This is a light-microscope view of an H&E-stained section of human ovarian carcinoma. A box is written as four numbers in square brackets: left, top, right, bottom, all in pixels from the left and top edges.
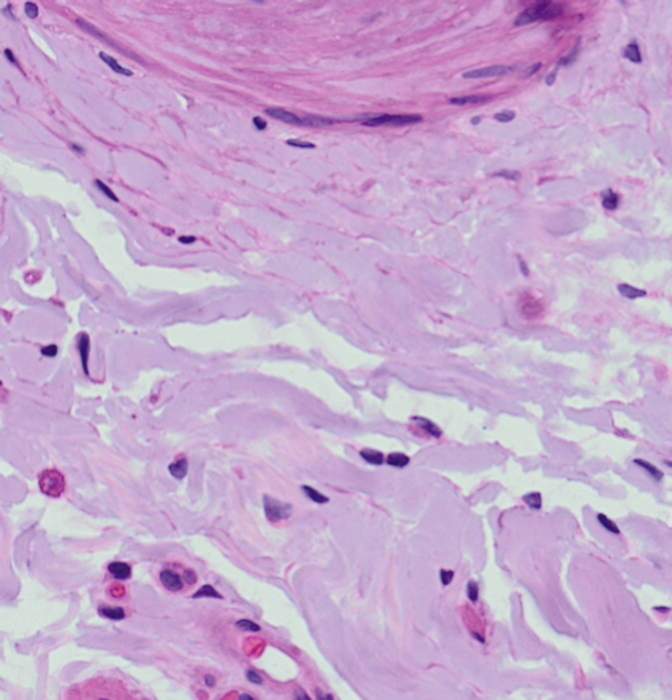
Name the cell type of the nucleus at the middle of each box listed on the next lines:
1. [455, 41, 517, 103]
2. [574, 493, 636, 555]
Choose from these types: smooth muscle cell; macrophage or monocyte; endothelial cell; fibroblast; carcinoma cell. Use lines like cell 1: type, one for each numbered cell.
cell 1: smooth muscle cell
cell 2: fibroblast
